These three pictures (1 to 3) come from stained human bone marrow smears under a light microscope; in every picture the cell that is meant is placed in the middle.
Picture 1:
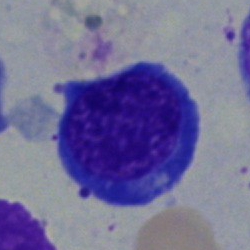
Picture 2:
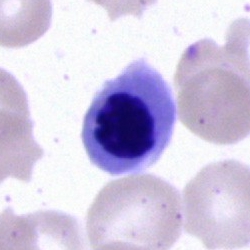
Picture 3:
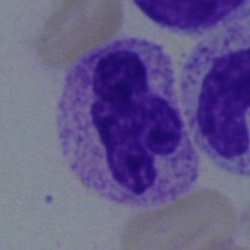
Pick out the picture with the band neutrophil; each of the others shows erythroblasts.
3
